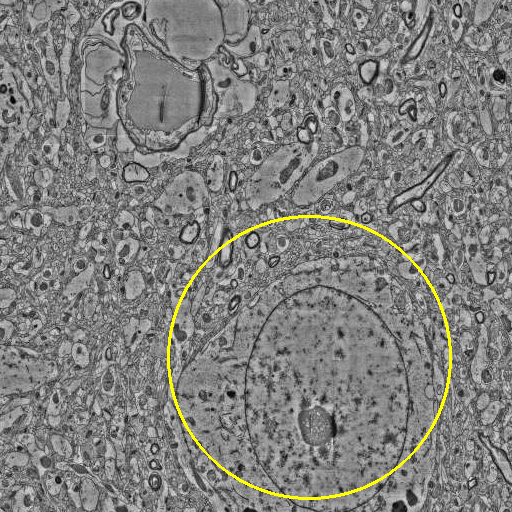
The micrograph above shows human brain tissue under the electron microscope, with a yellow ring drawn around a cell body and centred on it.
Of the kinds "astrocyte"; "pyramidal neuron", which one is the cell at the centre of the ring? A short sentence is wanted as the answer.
The one at the centre of the ring is a pyramidal neuron.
